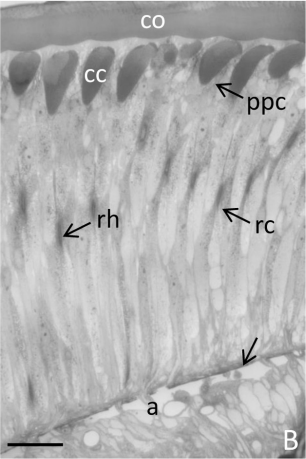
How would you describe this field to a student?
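This longitudinal section through a compound eye shows a row of ommatidia lying side by side. A smooth, homogeneous cornea forms the outer surface. Beneath it sits a row of dark, teardrop-shaped crystalline cones, each capped by thin primary pigment cells. Below the cones, long slender retinula cells run parallel toward the base, and within each ommatidium a darker spindle-shaped rhabdom lies along the axis. The cytoplasm is pale with scattered small vacuoles and few pigment granules. A thin dark basement membrane crosses near the base, and beneath it lie rounded pale profiles of axons.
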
